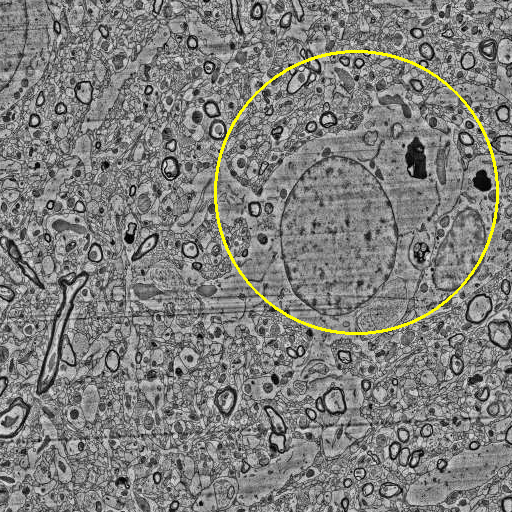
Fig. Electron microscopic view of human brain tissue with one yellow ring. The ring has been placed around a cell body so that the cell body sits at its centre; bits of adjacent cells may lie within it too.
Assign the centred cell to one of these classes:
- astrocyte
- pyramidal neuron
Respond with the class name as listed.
astrocyte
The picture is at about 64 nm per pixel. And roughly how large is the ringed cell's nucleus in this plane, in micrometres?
About 10 by 8 micrometers for the nucleus, in this plane.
